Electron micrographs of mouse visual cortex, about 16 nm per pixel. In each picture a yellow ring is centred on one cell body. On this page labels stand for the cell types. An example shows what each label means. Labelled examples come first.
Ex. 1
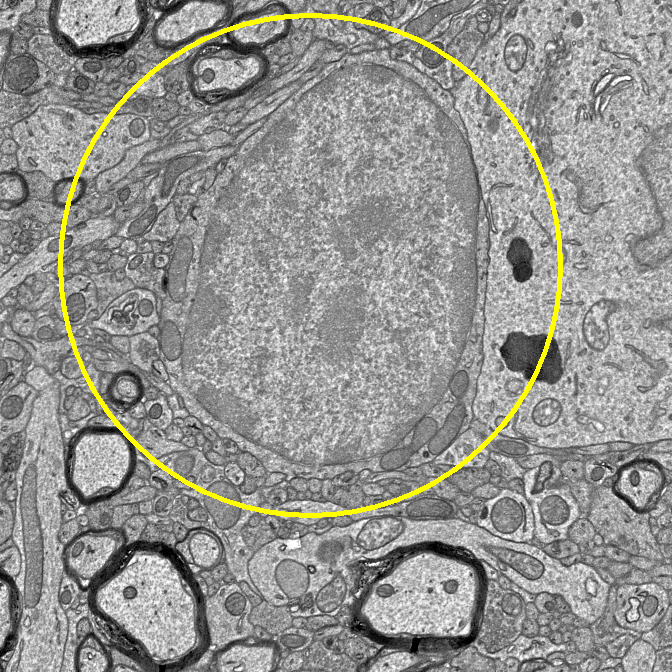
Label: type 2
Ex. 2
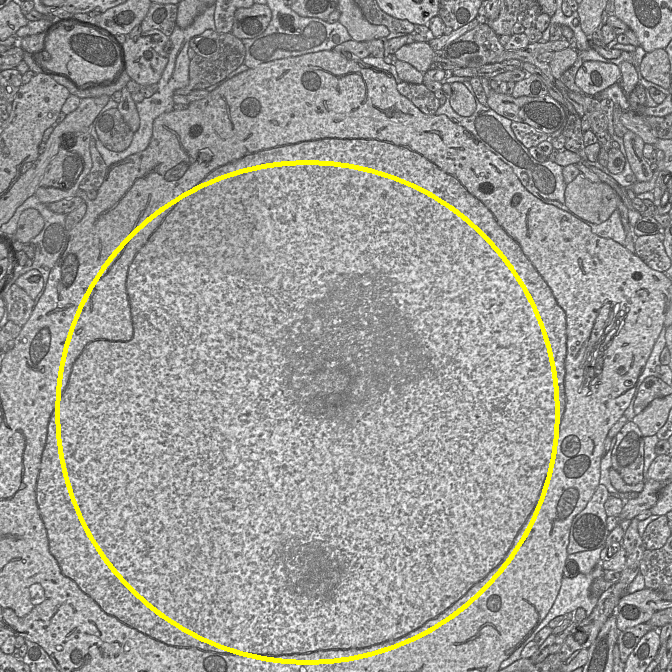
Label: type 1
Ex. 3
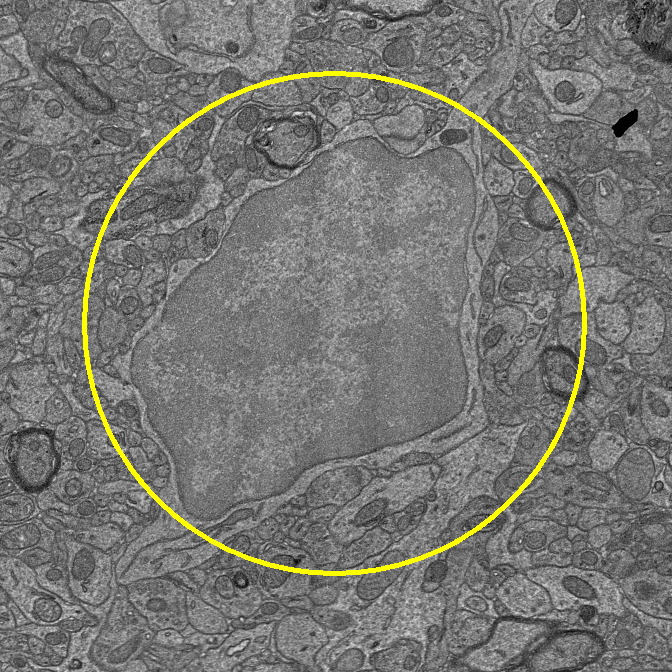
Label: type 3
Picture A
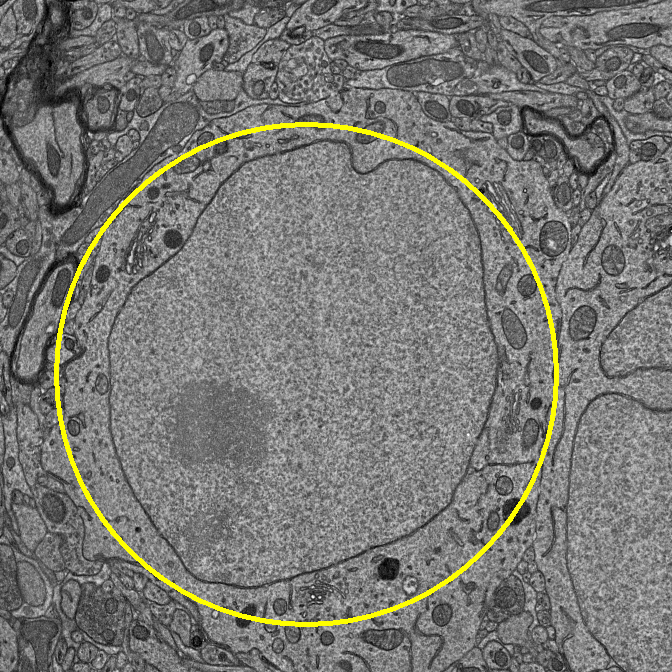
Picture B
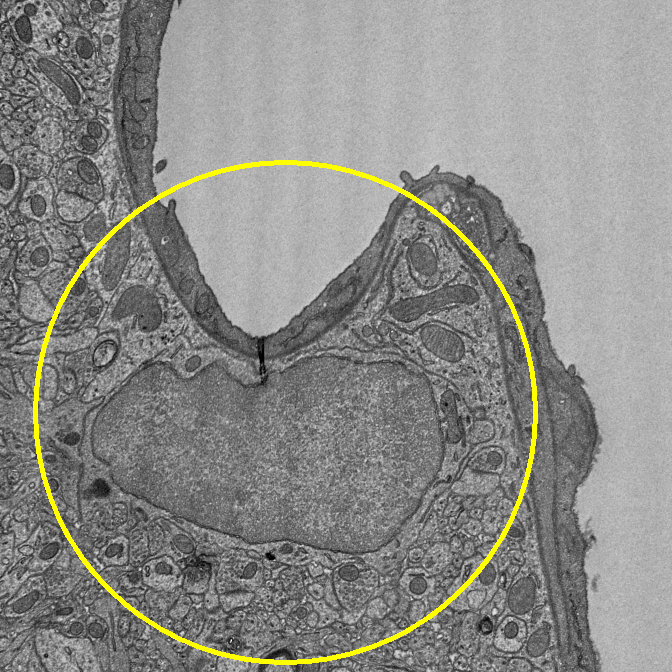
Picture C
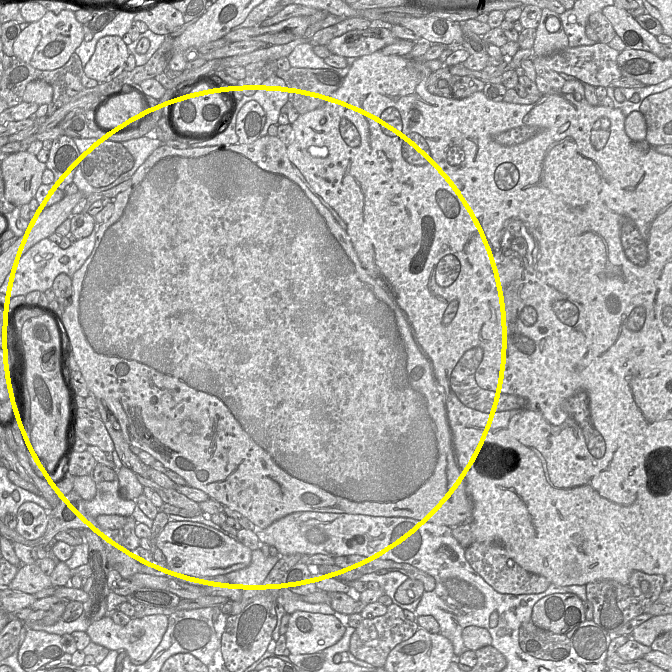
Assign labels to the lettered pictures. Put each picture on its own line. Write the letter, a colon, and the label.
A: type 1
B: type 3
C: type 3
